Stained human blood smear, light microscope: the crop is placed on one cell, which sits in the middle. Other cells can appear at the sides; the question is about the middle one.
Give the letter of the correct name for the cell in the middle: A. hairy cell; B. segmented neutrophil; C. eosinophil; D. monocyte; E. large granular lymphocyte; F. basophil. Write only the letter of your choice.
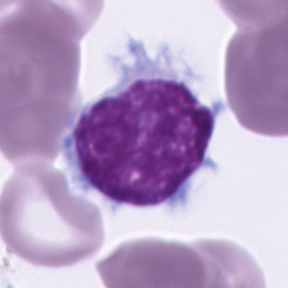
A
